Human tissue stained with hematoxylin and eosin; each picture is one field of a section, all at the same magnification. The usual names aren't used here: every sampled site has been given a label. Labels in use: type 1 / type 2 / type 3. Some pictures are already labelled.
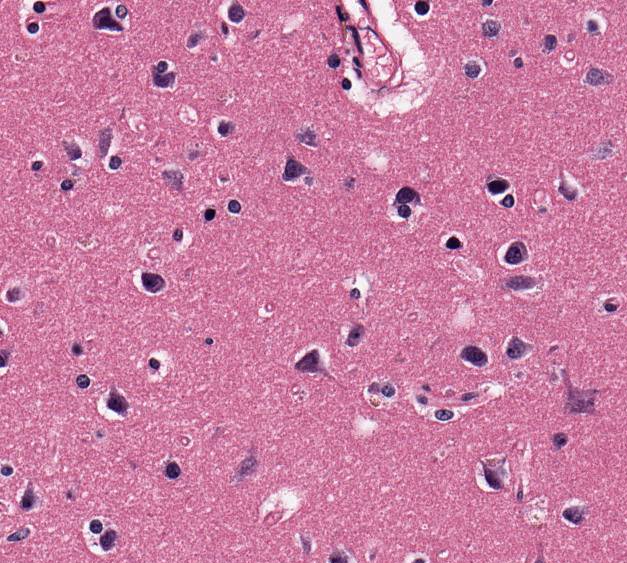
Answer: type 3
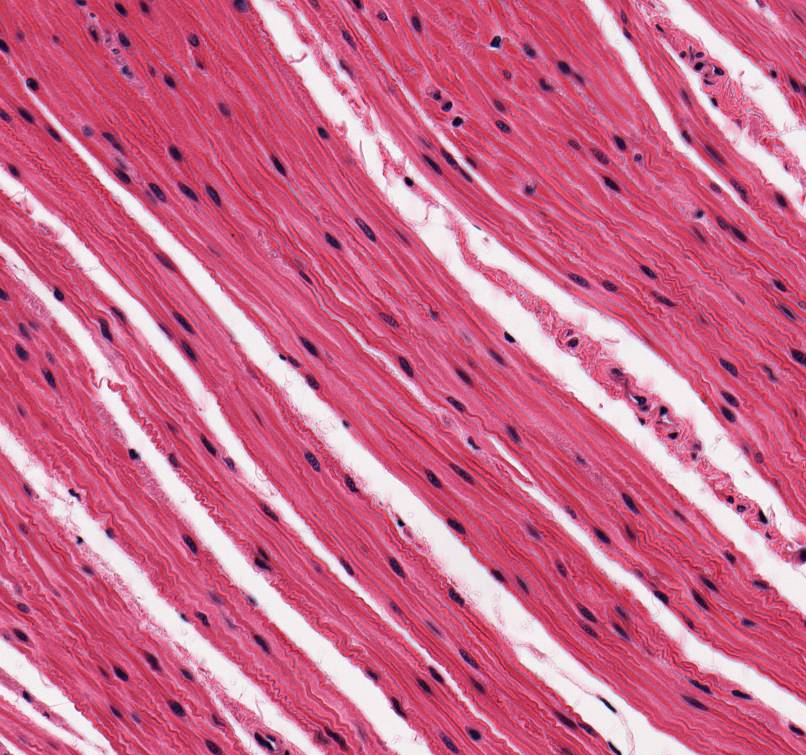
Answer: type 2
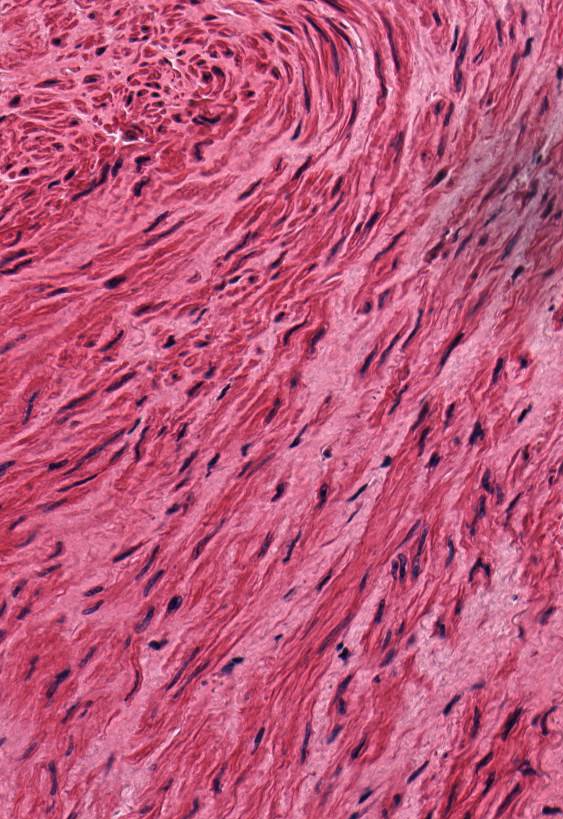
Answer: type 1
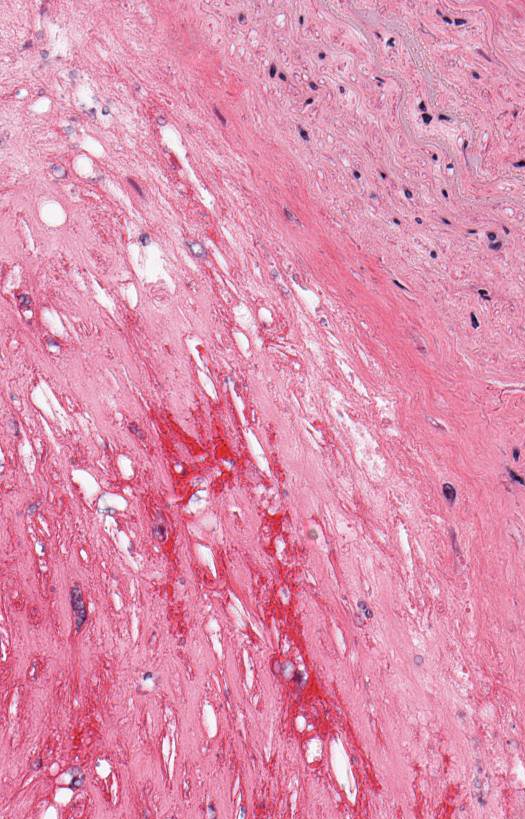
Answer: type 1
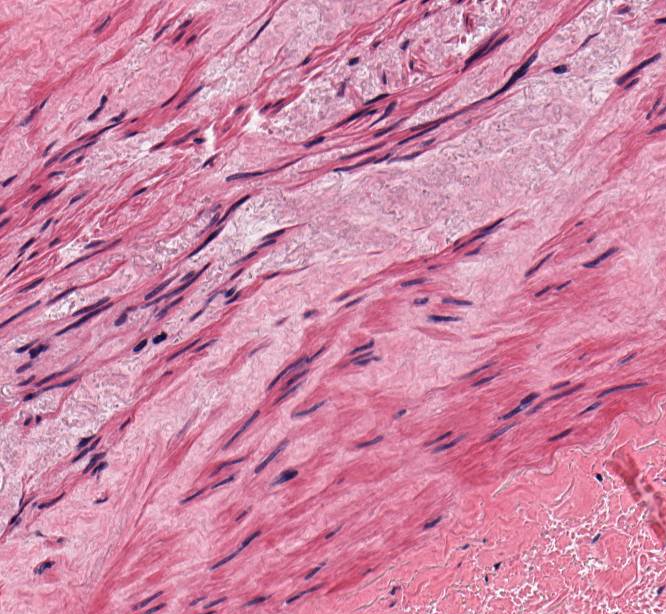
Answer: type 1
